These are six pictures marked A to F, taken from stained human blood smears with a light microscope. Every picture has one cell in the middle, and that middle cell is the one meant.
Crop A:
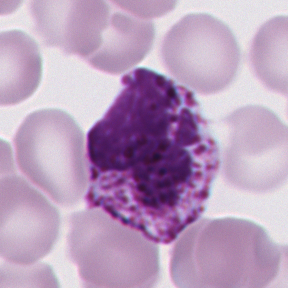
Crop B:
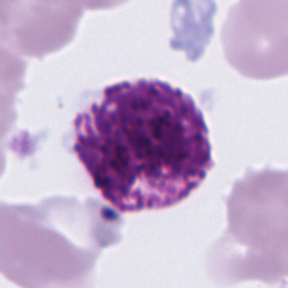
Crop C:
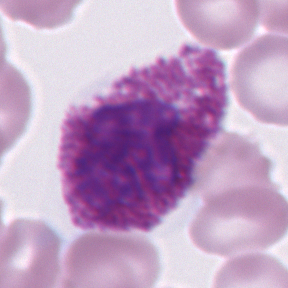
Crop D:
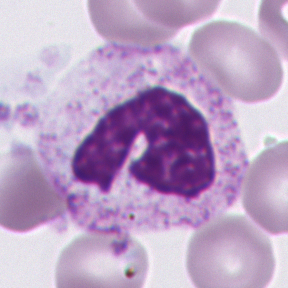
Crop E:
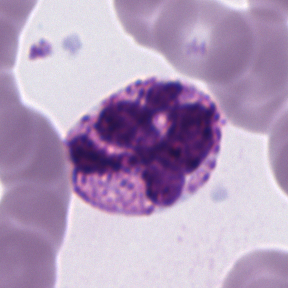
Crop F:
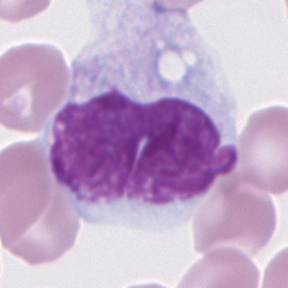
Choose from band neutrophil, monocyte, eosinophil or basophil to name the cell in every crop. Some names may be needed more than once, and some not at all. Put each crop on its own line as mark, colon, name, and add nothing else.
A: basophil
B: basophil
C: eosinophil
D: band neutrophil
E: basophil
F: monocyte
